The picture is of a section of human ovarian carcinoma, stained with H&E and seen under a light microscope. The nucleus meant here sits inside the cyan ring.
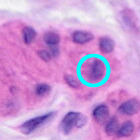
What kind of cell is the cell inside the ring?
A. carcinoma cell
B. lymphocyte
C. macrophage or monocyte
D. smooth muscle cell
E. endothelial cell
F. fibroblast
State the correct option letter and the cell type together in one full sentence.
The right pick is option D; the cell inside the ring is a smooth muscle cell.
